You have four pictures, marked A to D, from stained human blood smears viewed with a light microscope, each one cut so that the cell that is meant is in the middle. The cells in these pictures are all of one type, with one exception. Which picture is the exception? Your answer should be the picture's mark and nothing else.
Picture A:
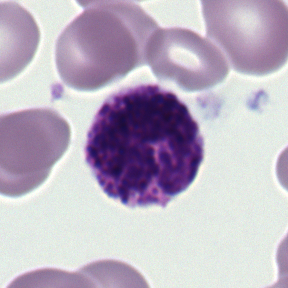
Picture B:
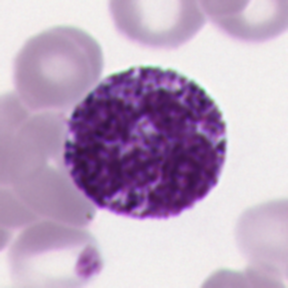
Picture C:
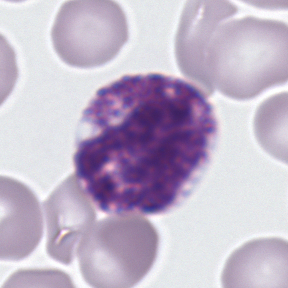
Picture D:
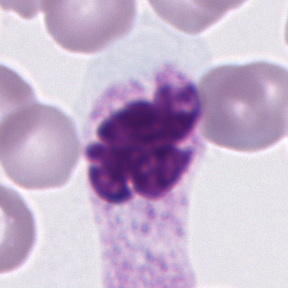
D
